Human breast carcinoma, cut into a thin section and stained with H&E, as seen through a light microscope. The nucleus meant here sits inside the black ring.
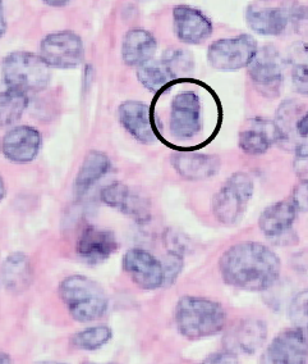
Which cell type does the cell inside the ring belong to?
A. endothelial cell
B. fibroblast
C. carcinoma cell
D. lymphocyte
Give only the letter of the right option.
C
